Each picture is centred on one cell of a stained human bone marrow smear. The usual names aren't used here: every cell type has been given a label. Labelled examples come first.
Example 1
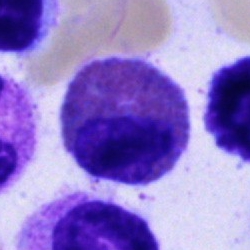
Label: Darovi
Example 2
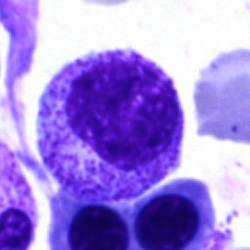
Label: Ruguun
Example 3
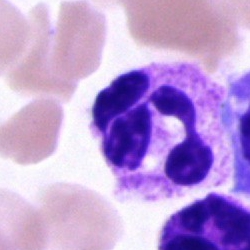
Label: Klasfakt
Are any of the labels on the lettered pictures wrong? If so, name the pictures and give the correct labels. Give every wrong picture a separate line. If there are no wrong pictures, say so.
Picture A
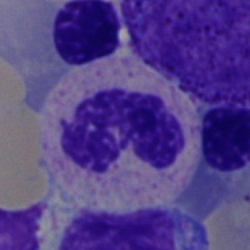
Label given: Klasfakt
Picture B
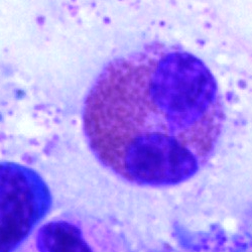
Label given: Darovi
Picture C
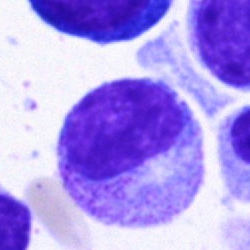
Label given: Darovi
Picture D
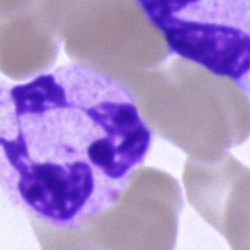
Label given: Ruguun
C: Ruguun, not Darovi
D: Klasfakt, not Ruguun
